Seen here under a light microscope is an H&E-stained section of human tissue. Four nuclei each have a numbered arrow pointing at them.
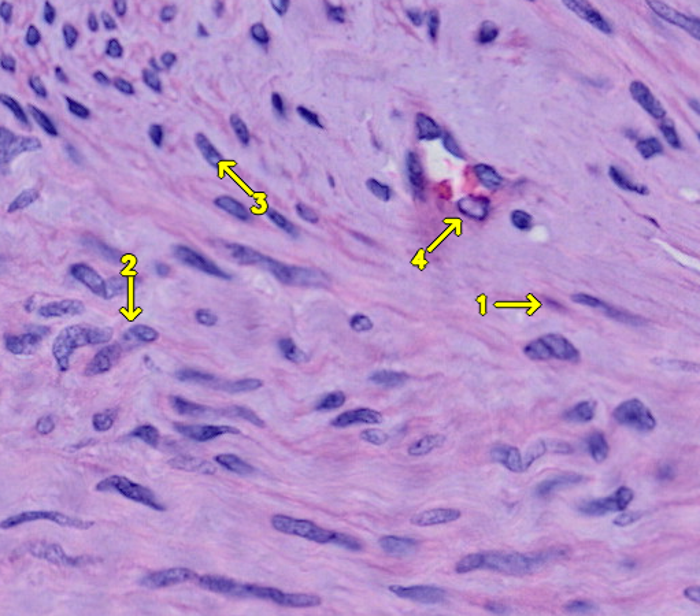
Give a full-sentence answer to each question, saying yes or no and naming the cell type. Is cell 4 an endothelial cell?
Yes, the cell given number 4 is an endothelial cell.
